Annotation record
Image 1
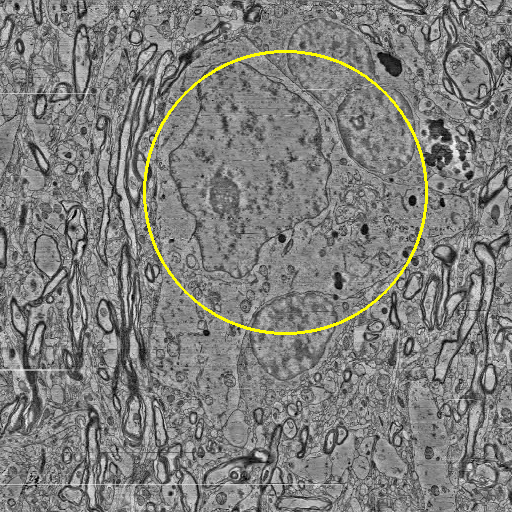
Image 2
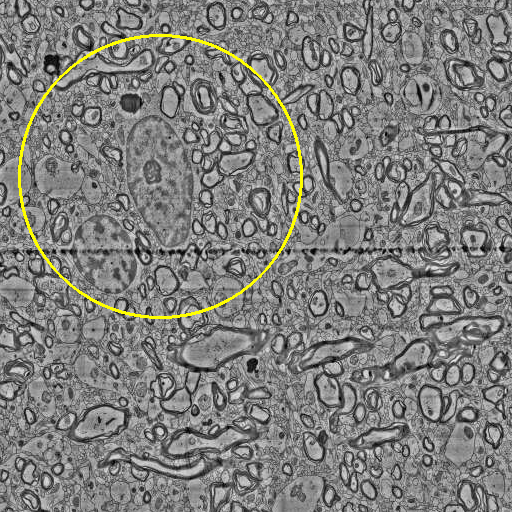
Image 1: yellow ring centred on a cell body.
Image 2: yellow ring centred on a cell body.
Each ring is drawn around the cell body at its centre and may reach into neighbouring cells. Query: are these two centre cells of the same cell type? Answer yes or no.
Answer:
no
